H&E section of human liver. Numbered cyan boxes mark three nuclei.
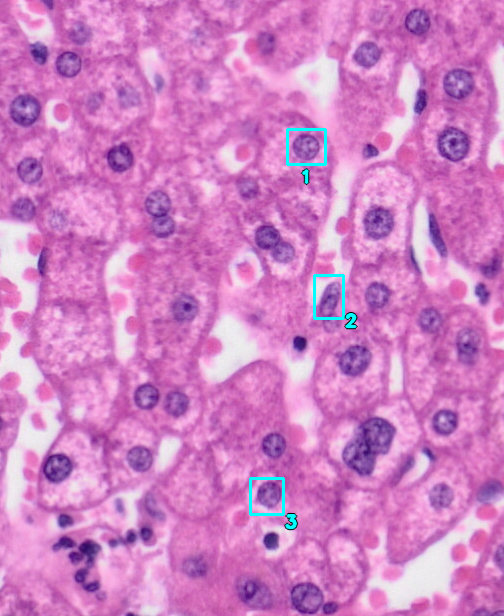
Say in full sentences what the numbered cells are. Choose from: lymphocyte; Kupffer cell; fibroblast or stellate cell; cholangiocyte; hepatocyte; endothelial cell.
Cells 1 and 3 are hepatocytes. Cell 2 is a Kupffer cell.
